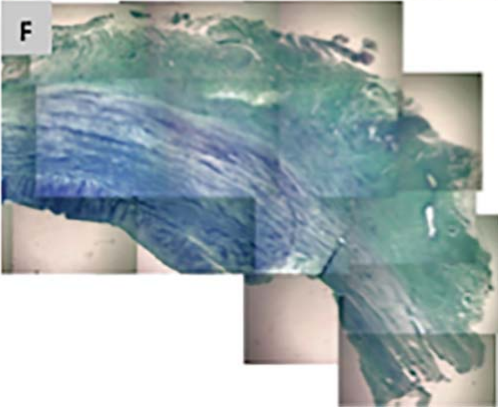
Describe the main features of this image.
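A broad band of more deeply blue-stained fibres sweeps diagonally through the middle of the section. Toward the upper and right-hand edges the tissue stains paler, more green-blue, and its fibres look less regularly aligned. The tissue appears continuous across the section, with no open cleft separating its parts; only a few small gaps are present. Individual cells cannot be made out clearly at this magnification.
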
